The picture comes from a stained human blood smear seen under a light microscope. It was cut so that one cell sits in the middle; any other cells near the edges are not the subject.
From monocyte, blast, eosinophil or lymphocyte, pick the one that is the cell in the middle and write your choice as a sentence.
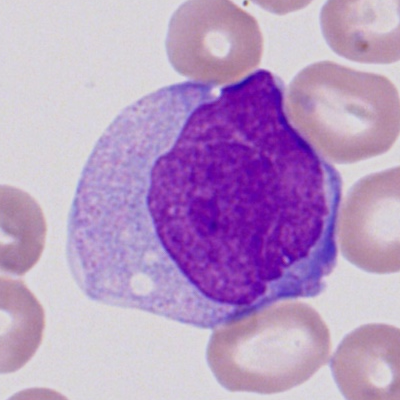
Where the crop is centred, there is a monocyte.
